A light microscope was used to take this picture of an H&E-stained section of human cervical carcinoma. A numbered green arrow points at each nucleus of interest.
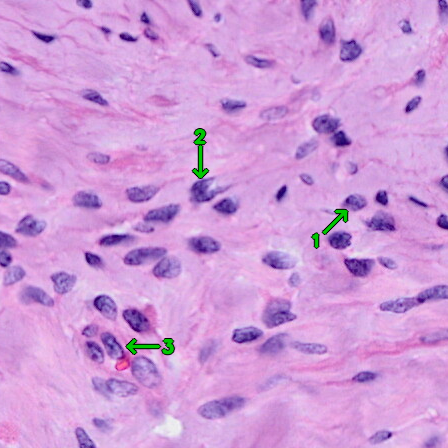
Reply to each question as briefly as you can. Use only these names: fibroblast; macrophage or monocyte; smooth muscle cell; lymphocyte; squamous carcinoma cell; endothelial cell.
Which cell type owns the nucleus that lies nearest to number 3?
endothelial cell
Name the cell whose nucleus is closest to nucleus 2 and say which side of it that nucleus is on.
a fibroblast; below and to the right of nucleus 2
